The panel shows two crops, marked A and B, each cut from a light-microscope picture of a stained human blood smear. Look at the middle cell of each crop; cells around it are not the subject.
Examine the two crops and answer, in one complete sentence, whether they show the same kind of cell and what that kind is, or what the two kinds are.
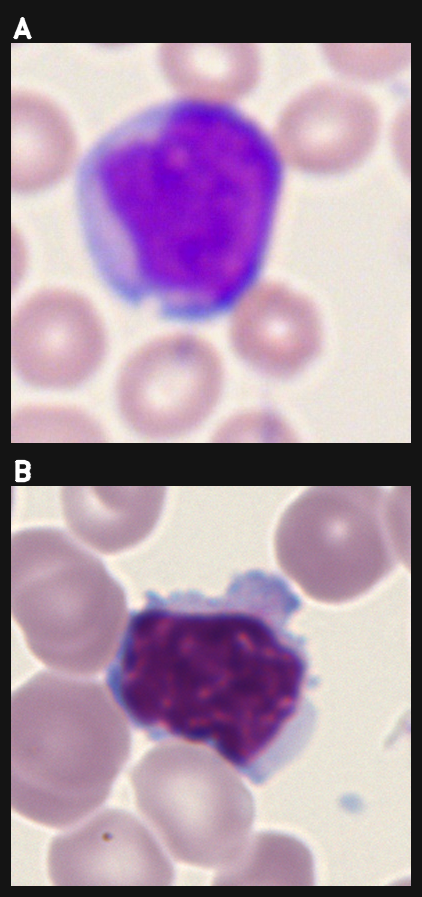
No, a blast is the cell in crop A; a lymphocyte is the cell in crop B.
